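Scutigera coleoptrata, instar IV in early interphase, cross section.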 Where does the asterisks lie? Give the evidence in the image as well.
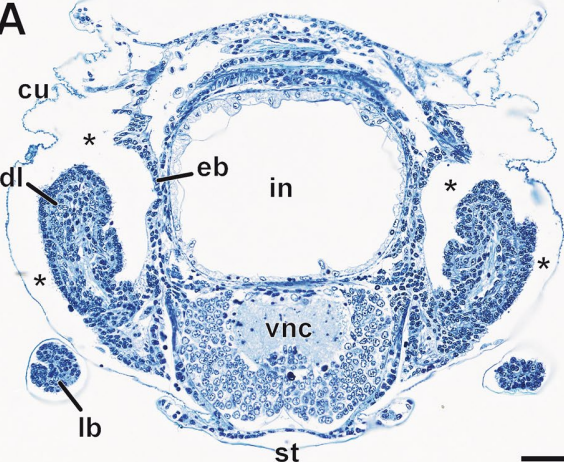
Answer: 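The asterisks lie in pale empty space between a thin outer line and the cellular body wall. Folded cellular limbs sit within that space on both sides. On this evidence: the space between cuticle and the epidermis of the body wall.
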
